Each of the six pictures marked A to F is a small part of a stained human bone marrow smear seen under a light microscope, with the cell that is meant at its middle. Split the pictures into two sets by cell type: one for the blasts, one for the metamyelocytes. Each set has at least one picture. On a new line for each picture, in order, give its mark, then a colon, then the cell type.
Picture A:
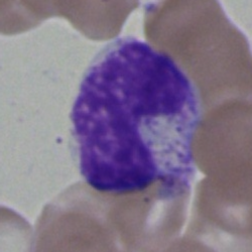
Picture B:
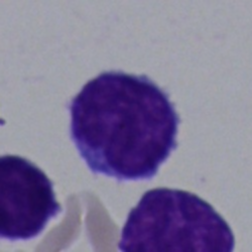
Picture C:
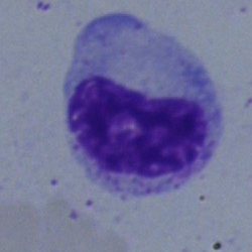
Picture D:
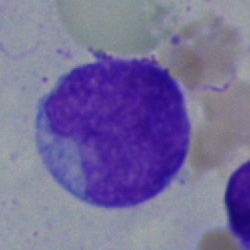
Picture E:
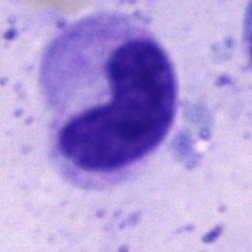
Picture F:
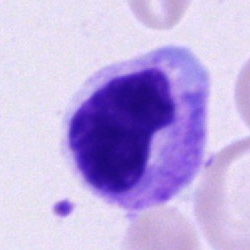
A: metamyelocyte
B: blast
C: metamyelocyte
D: blast
E: metamyelocyte
F: metamyelocyte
